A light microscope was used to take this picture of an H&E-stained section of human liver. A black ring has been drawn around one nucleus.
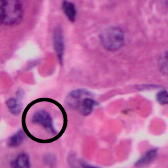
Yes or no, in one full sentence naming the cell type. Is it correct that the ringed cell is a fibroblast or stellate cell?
Yes, the ringed cell is categorized as a fibroblast or stellate cell in this section.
